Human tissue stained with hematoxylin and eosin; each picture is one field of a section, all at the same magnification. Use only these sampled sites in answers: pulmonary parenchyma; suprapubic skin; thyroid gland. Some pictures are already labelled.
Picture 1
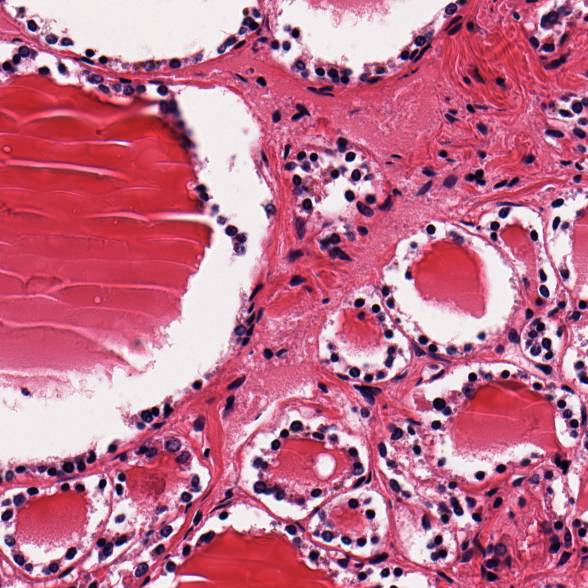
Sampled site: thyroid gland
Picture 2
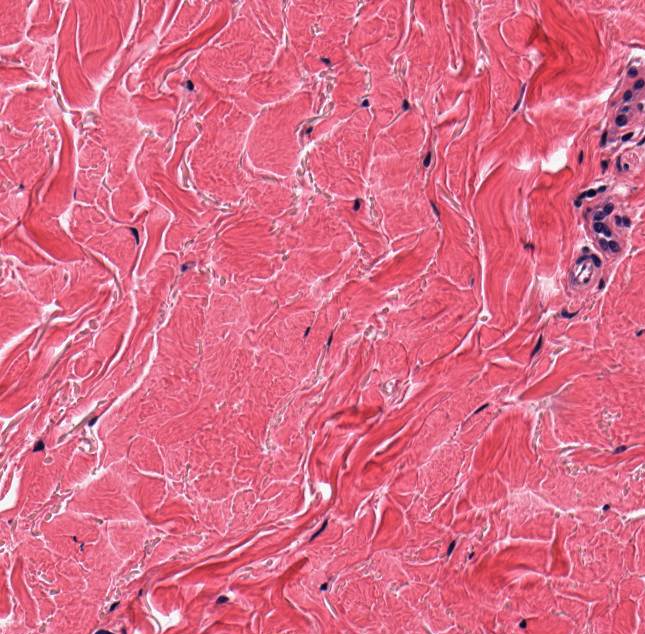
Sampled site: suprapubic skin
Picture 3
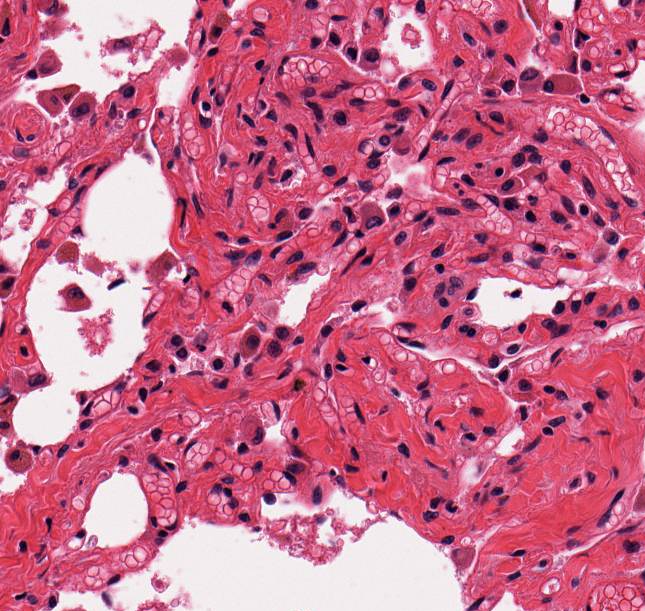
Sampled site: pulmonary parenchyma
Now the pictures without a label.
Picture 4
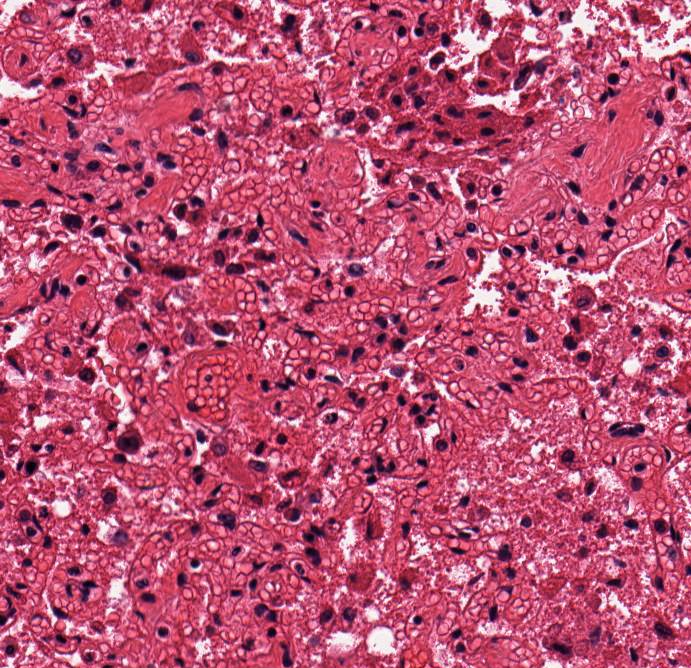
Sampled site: pulmonary parenchyma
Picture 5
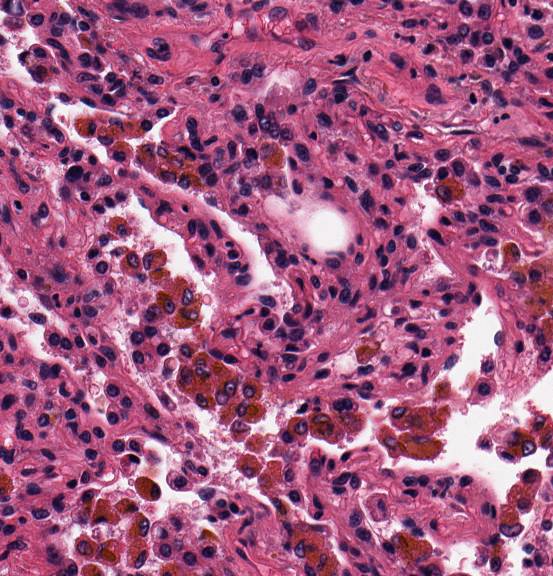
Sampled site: pulmonary parenchyma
